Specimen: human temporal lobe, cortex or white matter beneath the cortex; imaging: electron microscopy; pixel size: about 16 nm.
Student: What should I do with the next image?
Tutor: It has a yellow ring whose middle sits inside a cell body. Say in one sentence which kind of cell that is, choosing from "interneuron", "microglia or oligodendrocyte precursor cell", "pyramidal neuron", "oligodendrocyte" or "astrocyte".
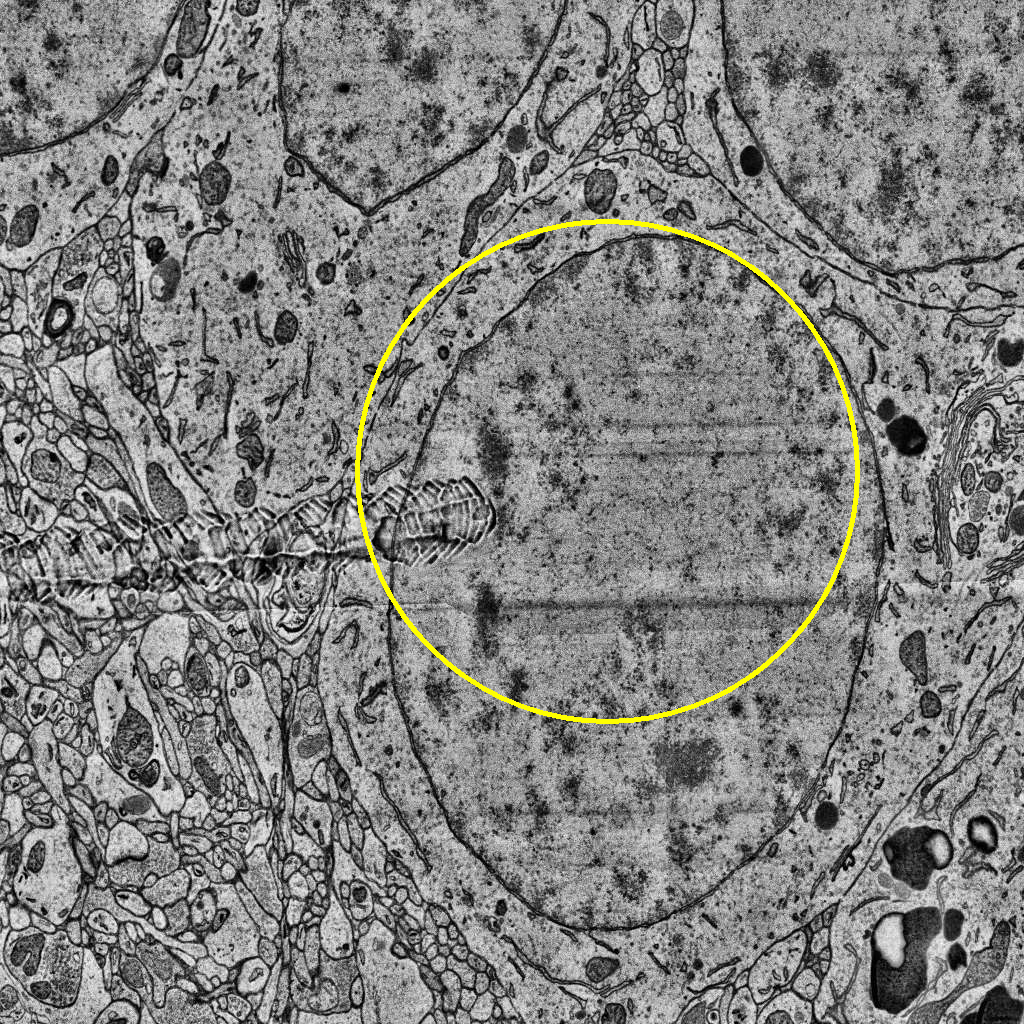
The ring's centre is occupied by a pyramidal neuron.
